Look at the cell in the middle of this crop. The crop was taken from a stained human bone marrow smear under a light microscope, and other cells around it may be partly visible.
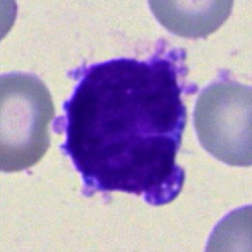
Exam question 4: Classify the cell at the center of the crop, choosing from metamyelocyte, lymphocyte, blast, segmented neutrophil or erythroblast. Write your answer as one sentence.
Centrally within this crop lies a blast.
